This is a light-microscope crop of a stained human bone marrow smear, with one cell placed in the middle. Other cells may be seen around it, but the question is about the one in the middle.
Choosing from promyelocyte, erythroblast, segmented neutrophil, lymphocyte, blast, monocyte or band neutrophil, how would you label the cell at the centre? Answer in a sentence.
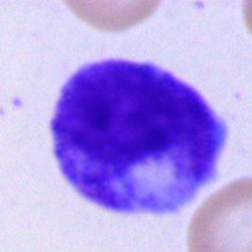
The cell positioned in the middle of the field is a promyelocyte.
